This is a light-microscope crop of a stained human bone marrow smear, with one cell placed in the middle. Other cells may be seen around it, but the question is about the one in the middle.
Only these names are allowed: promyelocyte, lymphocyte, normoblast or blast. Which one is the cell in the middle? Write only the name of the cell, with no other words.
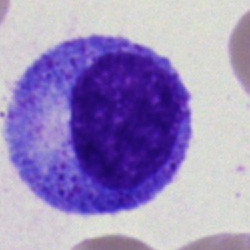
promyelocyte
